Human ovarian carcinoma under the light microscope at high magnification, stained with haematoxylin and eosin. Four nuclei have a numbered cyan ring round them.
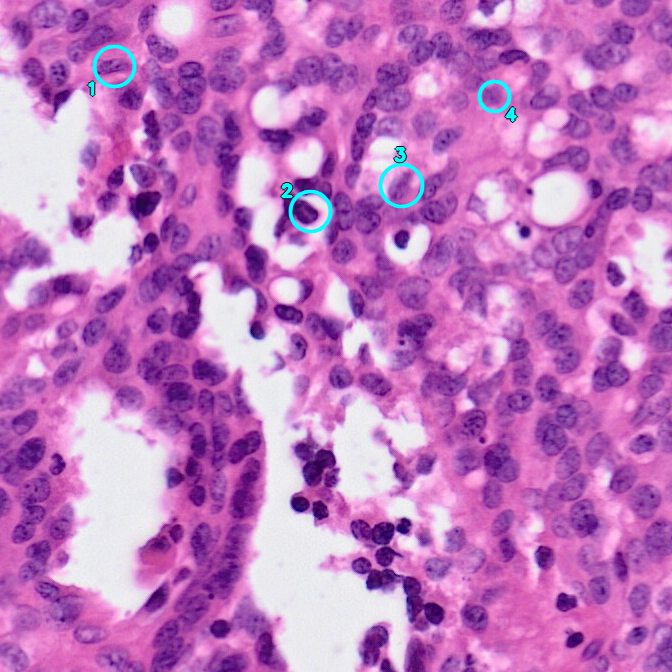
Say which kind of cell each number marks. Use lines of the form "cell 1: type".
cell 1: endothelial cell
cell 2: carcinoma cell
cell 3: carcinoma cell
cell 4: carcinoma cell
